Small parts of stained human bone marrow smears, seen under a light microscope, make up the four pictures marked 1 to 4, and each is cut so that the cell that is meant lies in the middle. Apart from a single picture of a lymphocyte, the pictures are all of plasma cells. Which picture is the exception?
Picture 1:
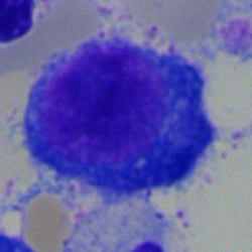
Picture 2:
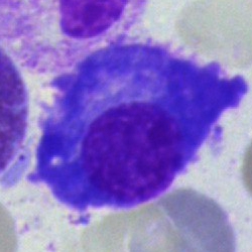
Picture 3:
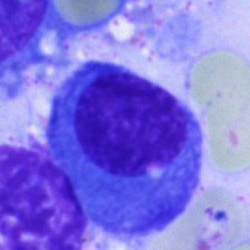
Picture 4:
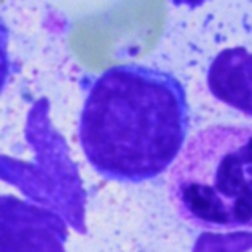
4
